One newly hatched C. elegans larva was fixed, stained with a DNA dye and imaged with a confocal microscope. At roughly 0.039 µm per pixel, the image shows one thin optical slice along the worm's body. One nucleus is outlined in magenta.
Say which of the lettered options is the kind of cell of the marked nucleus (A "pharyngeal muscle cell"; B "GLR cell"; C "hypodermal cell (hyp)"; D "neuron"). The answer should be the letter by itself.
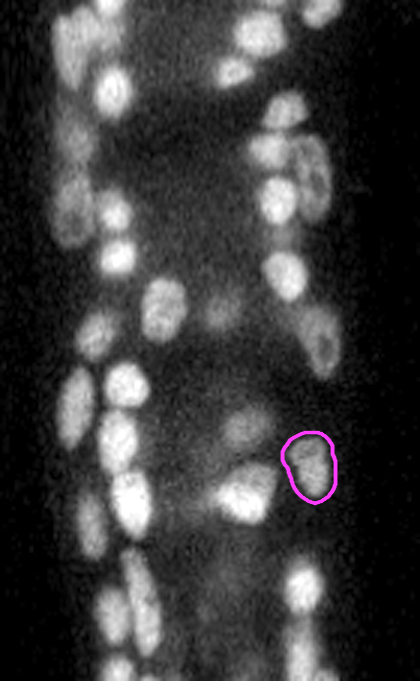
C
